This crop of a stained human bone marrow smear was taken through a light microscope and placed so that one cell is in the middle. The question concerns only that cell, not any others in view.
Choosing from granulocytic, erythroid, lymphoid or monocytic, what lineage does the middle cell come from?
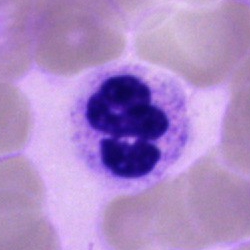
granulocytic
